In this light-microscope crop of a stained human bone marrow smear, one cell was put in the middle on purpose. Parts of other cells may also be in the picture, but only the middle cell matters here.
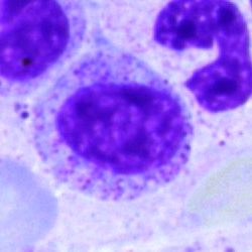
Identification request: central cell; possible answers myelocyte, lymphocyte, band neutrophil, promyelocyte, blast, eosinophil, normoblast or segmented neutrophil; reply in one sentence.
Here the cell in the middle is a myelocyte.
